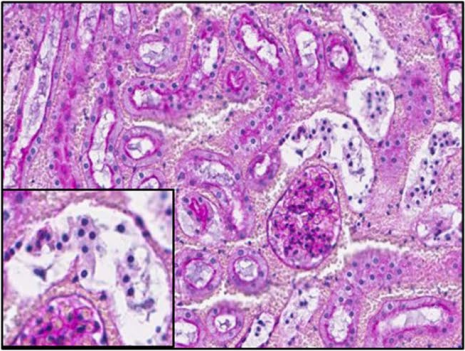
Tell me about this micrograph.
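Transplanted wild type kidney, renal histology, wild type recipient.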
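Many tubules have widened, pale lumina, and the lining epithelium appears flattened and irregular in places. A round glomerulus with densely packed nuclei sits near the centre of the field. Some tubular lumina contain detached cells and debris with small, dark, condensed nuclei. The enlarged inset at lower left shows such shed cells lying free in a dilated tubule lumen next to the glomerulus.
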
